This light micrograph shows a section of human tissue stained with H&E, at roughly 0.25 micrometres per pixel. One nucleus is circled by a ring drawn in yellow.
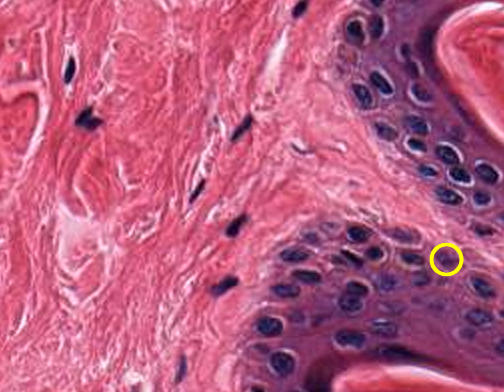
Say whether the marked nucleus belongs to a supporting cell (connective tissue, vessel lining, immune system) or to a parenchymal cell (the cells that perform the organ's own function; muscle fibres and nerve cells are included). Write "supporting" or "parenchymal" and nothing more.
parenchymal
